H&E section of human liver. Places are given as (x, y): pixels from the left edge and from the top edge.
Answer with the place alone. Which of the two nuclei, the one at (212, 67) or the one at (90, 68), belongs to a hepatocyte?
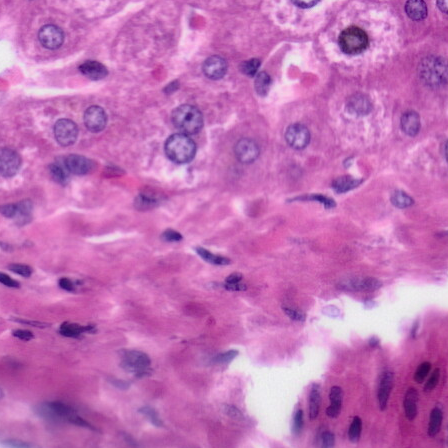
(212, 67)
